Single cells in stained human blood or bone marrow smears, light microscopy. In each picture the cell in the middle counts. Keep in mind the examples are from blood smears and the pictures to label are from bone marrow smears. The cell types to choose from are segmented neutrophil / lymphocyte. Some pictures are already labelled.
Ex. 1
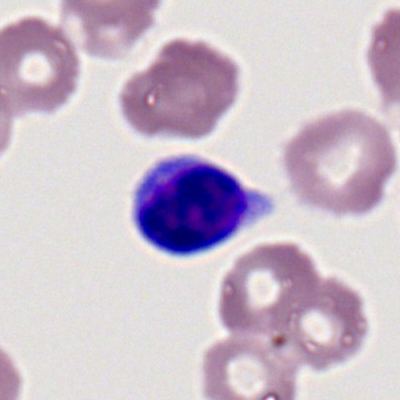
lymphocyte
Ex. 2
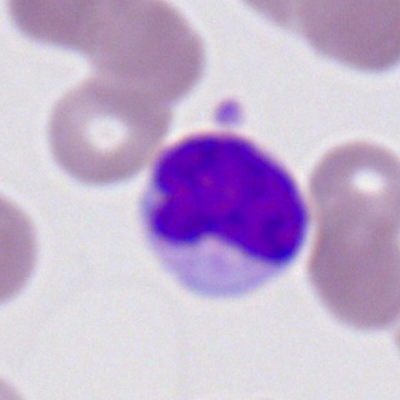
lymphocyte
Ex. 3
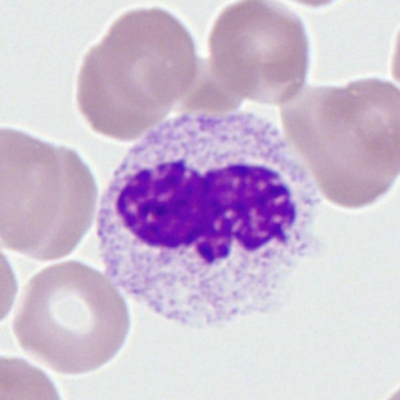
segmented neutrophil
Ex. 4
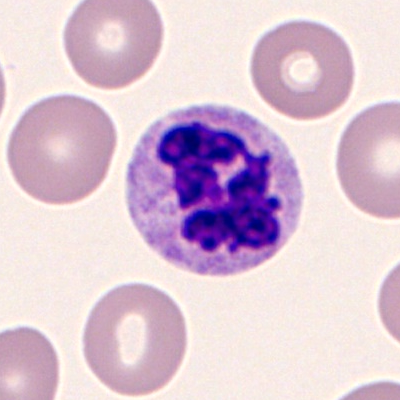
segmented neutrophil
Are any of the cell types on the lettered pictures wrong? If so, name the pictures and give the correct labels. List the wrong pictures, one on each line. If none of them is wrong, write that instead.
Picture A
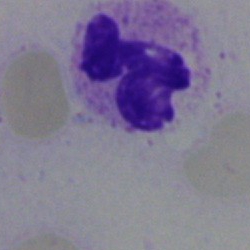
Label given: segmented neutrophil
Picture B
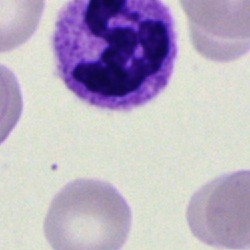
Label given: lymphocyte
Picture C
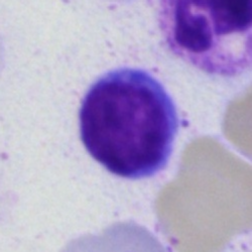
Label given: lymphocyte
B is labelled lymphocyte; correct label: segmented neutrophil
